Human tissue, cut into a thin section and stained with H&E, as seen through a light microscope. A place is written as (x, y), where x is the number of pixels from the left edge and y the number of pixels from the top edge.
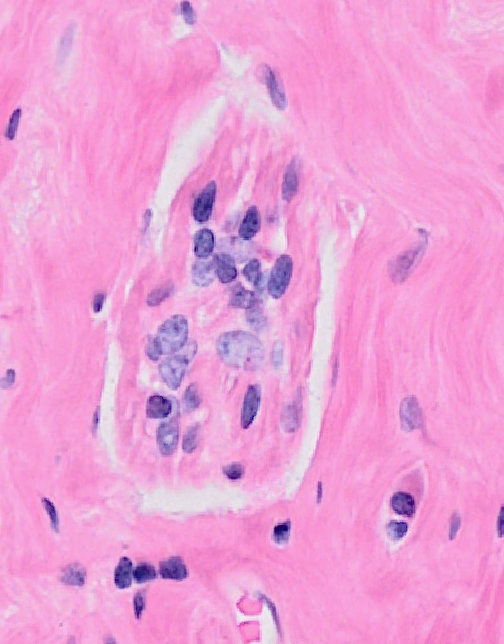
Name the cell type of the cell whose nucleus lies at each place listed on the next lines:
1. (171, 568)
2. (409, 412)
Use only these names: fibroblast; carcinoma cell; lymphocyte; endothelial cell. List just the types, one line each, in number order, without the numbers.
lymphocyte
fibroblast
